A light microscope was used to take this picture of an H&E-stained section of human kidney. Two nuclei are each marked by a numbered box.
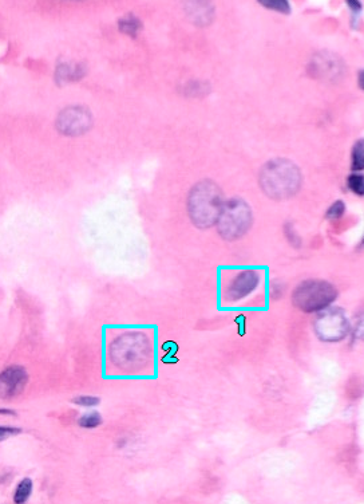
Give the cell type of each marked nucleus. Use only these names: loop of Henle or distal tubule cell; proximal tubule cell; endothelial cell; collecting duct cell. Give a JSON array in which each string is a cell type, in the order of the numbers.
["endothelial cell", "proximal tubule cell"]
